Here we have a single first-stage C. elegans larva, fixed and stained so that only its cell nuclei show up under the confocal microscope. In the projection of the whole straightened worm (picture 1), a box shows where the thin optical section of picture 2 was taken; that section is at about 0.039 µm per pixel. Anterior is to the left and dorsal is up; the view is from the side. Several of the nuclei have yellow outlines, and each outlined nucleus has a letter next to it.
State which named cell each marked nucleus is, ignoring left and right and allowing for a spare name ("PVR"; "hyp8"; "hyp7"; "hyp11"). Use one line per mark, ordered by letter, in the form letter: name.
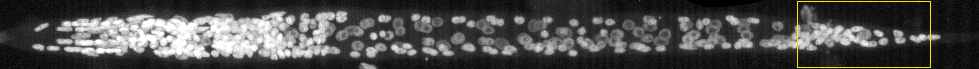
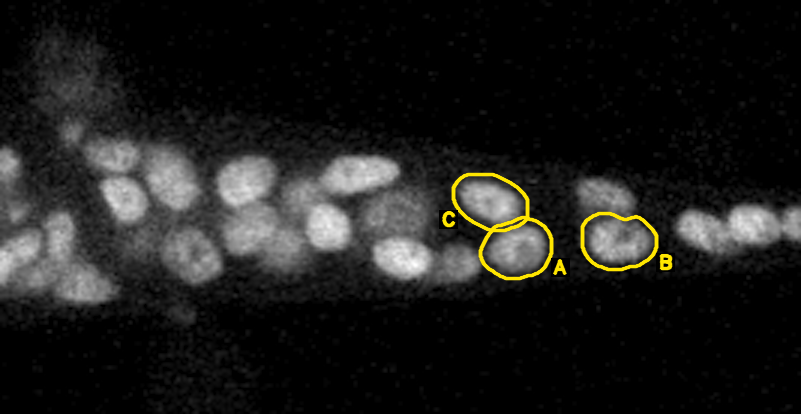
A: hyp7
B: hyp8
C: PVR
